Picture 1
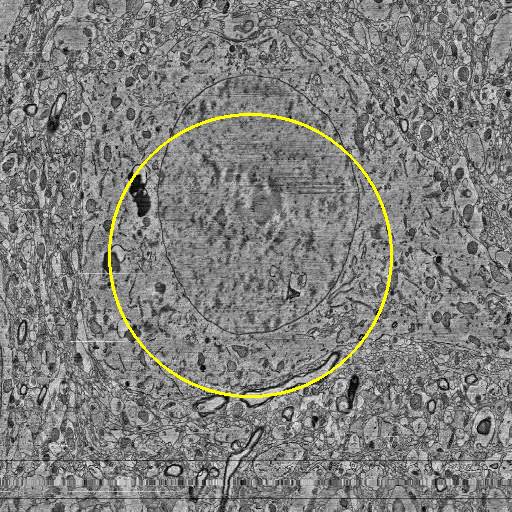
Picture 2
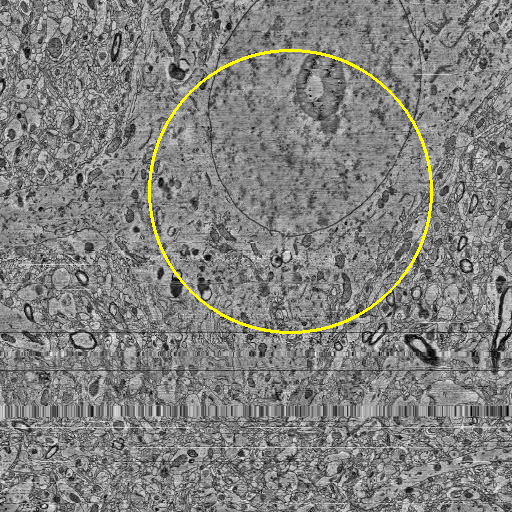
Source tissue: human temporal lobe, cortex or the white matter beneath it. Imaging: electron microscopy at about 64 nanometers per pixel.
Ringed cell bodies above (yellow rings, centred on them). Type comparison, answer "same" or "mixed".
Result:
same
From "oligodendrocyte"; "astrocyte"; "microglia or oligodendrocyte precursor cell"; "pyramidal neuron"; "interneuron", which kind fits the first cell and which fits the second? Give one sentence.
Each cell at the centre of a ring is a pyramidal neuron.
